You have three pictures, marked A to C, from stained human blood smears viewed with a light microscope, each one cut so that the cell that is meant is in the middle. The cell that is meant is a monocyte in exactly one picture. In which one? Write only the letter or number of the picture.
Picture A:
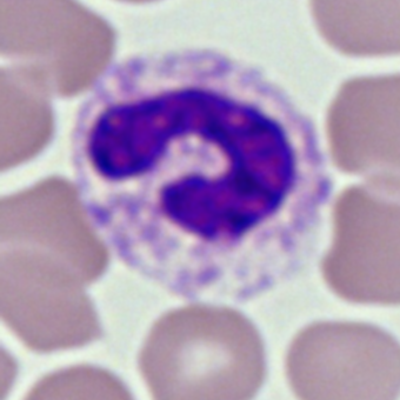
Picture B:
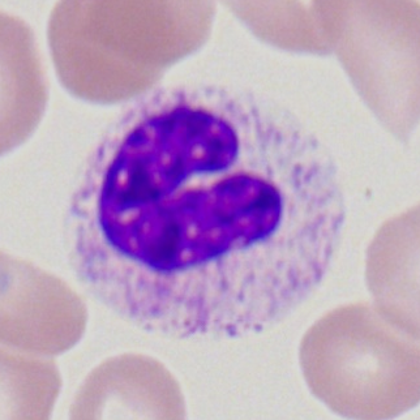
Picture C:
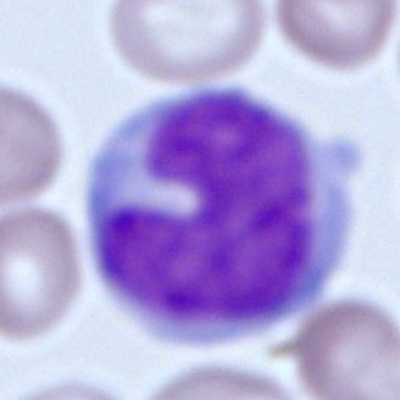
C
